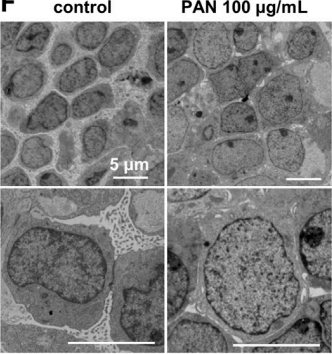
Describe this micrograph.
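The nuclei are large and rounded, with dispersed chromatin and occasional darker chromatin clumps, and they occupy most of each cell. The cytoplasm forms a narrow rim, with small organelles and scattered dense bodies. Narrow clefts with thin cytoplasmic processes separate neighbouring cells in places.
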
